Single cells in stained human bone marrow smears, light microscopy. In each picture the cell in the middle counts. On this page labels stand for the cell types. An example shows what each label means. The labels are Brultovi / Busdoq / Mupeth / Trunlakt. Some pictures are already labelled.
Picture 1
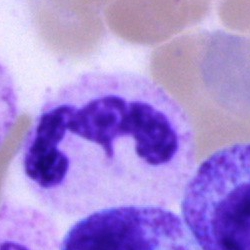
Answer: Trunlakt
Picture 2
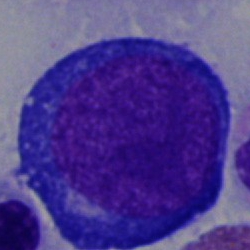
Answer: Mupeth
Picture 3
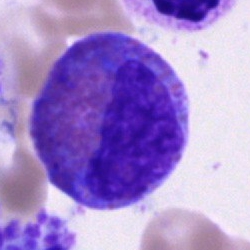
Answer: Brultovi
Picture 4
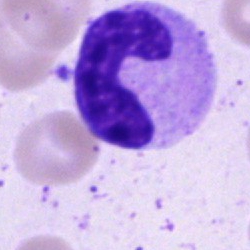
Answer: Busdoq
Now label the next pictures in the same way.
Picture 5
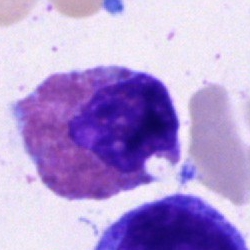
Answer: Brultovi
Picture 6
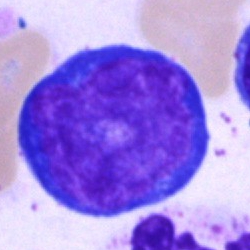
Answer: Mupeth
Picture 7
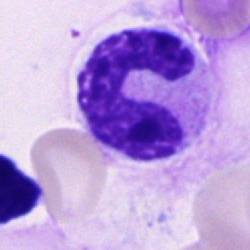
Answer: Busdoq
